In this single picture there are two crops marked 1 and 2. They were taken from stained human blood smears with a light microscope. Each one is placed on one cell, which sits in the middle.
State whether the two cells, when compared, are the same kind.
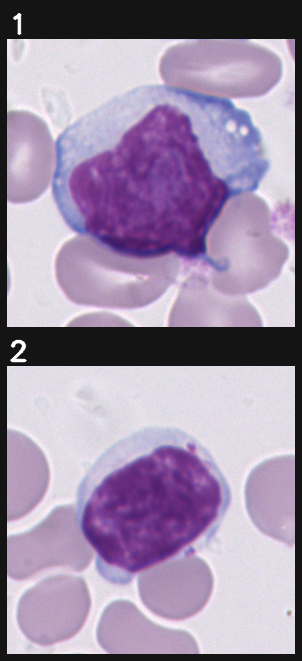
no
